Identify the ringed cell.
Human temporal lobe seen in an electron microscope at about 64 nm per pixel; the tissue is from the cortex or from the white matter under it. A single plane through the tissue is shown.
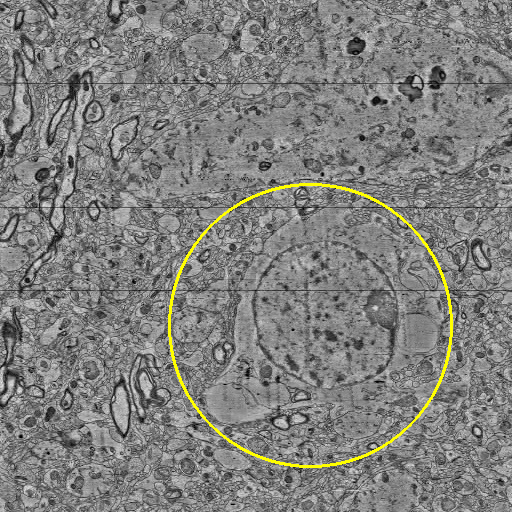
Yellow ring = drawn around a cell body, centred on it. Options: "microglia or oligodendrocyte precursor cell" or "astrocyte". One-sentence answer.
What the ring is centred on is an astrocyte.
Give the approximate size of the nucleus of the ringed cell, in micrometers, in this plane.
Approximately 10 micrometres across in this plane.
